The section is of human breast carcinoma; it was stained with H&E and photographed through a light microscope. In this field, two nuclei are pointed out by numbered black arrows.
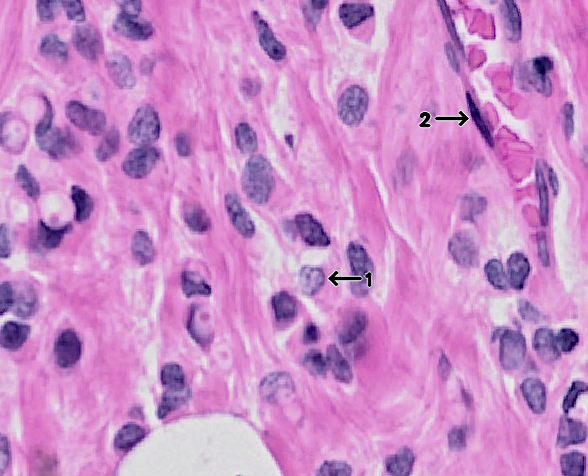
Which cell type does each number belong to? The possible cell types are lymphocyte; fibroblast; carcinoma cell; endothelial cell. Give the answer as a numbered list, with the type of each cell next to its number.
1. carcinoma cell
2. endothelial cell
